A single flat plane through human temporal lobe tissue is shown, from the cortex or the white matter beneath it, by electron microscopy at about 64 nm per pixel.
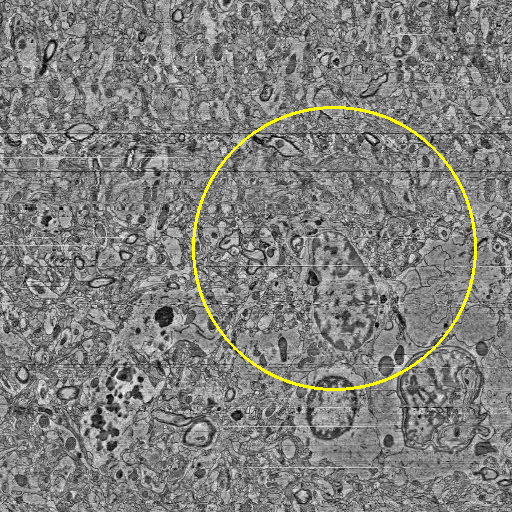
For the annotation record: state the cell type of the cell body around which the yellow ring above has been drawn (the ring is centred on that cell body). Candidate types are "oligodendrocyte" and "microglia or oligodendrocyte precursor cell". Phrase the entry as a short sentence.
The ringed cell is a microglial cell or oligodendrocyte precursor cell.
